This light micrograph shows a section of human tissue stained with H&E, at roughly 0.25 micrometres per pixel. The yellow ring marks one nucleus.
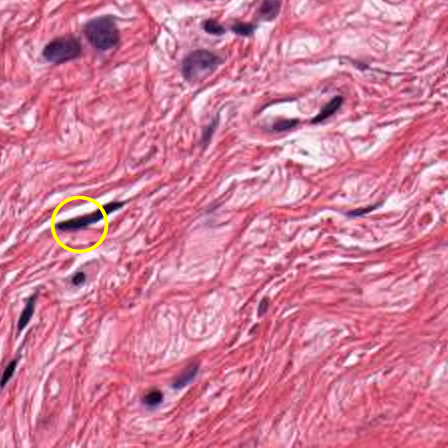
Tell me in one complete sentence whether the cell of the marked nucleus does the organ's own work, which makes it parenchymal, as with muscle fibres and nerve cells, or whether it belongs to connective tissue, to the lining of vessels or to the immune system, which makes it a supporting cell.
Designated as that of a supporting cell is the marked nucleus.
